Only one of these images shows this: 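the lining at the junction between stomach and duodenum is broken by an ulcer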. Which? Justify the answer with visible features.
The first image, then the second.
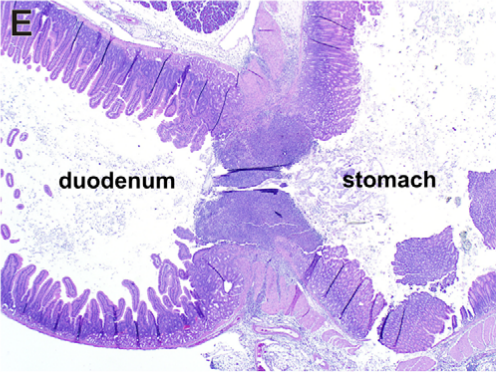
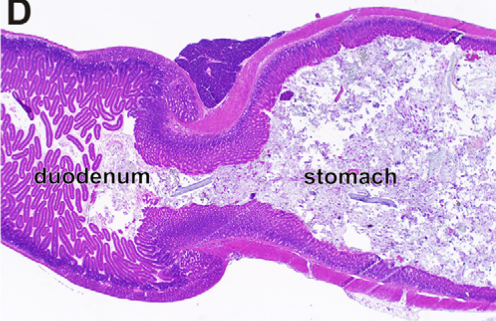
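The first image. First image: the surface at the junction is interrupted and replaced by a dense dark purple mass. Second image: the wall at the junction is smooth and continuous, with an intact pink muscle layer and regular mucosa on both sides.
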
